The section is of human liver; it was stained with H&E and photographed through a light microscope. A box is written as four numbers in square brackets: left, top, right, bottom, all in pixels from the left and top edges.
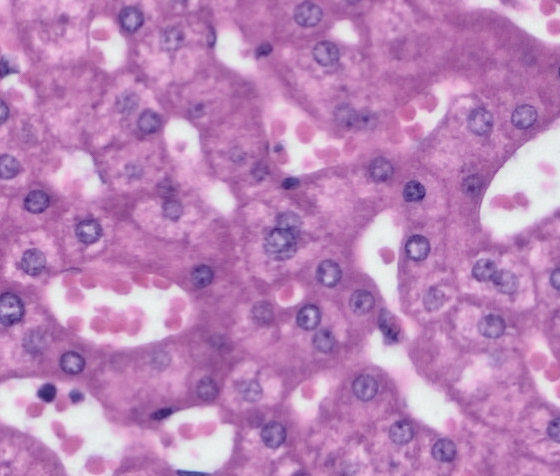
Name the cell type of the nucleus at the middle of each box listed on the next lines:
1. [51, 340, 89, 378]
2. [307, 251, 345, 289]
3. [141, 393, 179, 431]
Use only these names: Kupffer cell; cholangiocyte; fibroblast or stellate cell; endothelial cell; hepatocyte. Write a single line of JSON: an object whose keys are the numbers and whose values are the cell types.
{"1": "hepatocyte", "2": "hepatocyte", "3": "fibroblast or stellate cell"}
